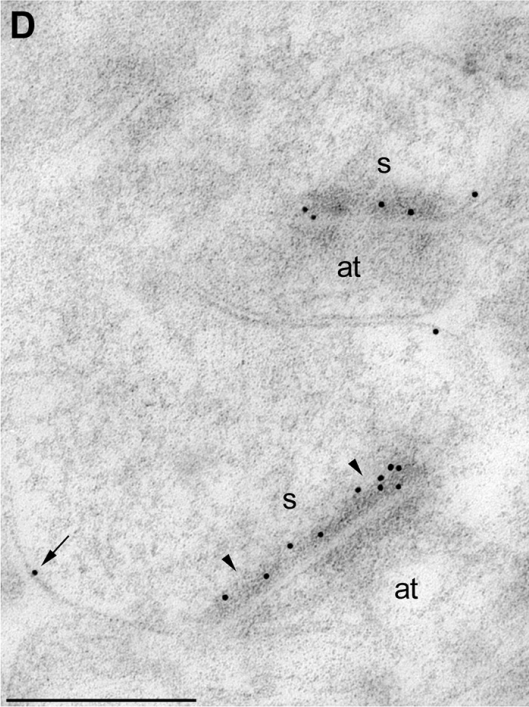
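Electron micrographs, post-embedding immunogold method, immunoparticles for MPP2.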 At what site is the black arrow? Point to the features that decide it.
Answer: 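Extrasynaptic sites. The arrow points to a single gold particle on a plain membrane. This membrane lies away from any dark thickened contact zone.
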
